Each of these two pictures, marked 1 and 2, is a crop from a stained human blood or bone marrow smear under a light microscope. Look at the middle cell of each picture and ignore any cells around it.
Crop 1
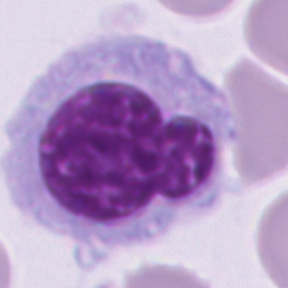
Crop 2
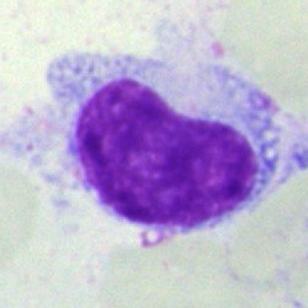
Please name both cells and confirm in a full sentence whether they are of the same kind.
No, crop 1 is of a plasma cell, and crop 2 is of a hairy cell.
